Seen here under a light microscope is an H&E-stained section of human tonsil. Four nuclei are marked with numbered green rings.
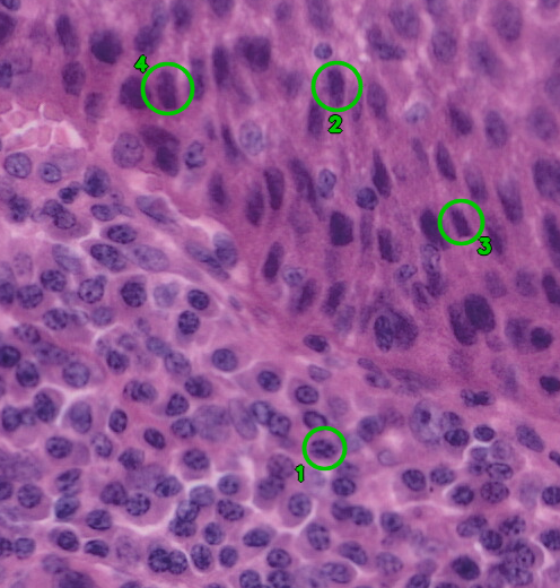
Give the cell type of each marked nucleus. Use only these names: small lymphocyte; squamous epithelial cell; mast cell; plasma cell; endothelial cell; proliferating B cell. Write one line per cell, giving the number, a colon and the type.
1: plasma cell
2: squamous epithelial cell
3: squamous epithelial cell
4: squamous epithelial cell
